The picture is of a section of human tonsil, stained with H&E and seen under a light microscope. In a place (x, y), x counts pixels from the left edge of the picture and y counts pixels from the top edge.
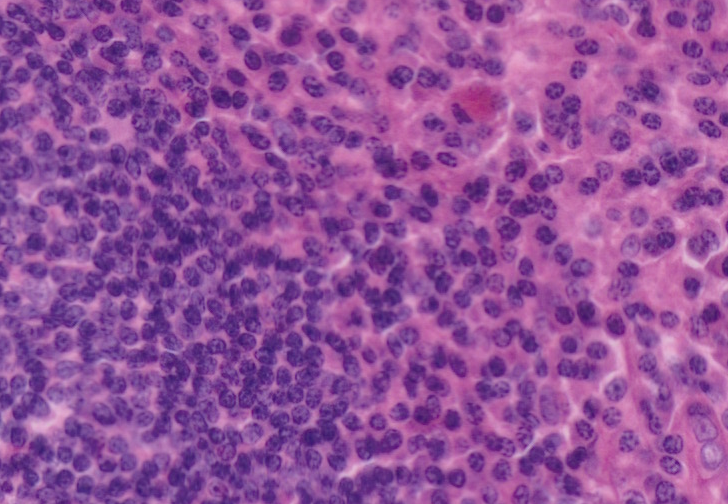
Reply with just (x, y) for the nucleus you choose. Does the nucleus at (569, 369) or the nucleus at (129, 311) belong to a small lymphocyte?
(129, 311)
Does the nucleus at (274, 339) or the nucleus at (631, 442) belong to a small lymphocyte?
(274, 339)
